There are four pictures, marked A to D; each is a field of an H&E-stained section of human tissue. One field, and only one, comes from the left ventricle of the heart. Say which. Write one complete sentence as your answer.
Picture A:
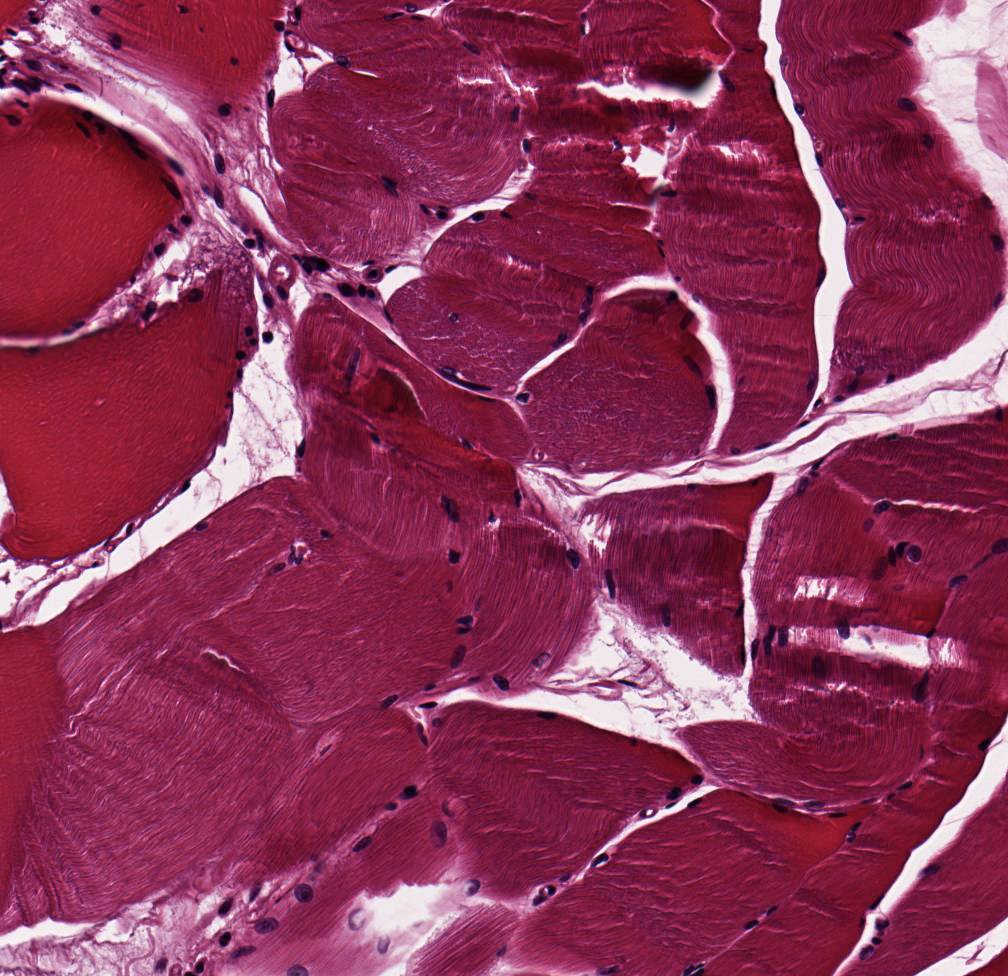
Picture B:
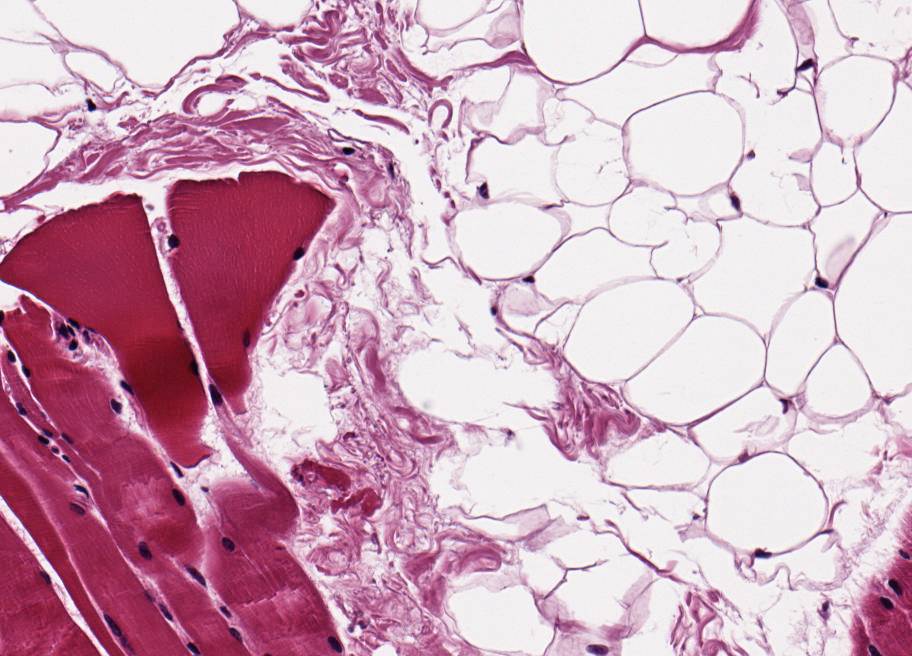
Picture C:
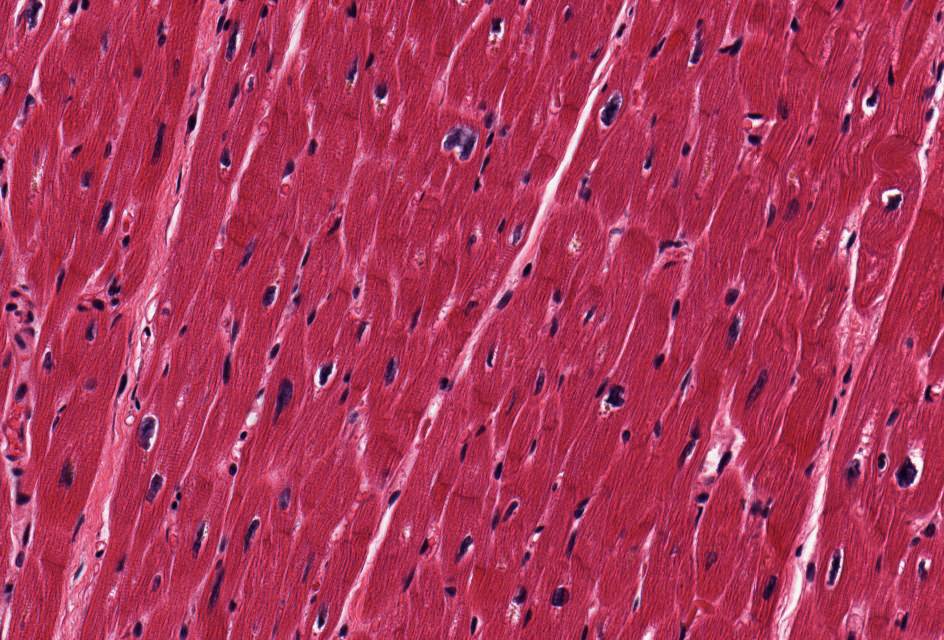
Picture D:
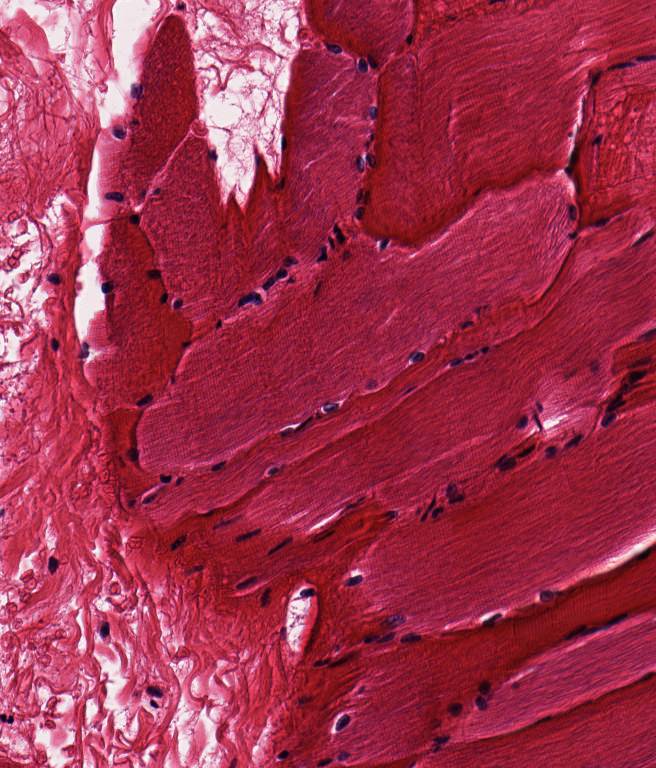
Picture C is the field that comes from the left ventricle of the heart.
